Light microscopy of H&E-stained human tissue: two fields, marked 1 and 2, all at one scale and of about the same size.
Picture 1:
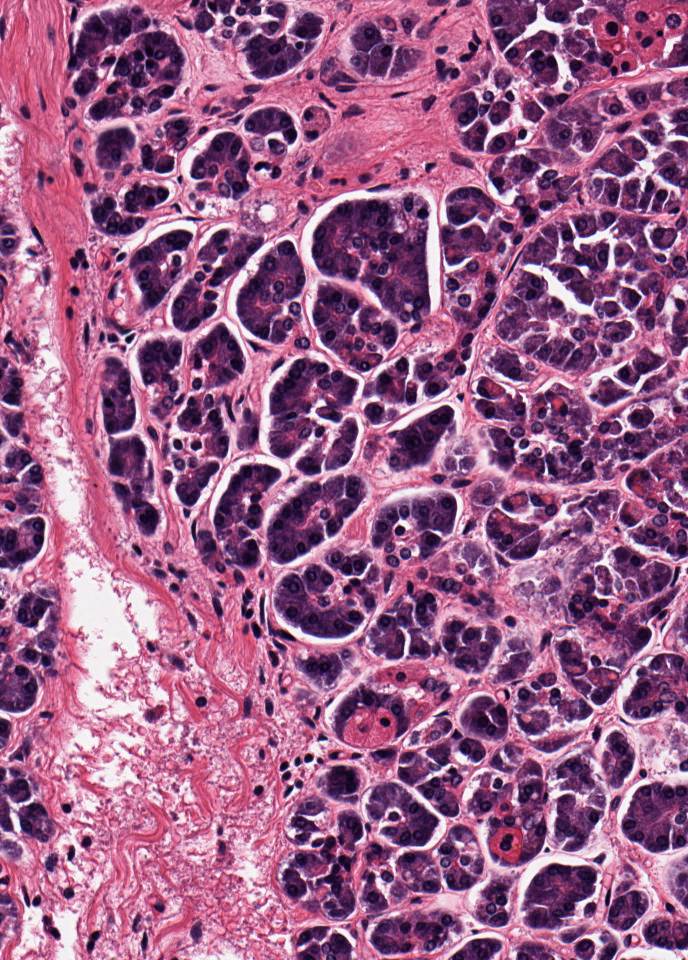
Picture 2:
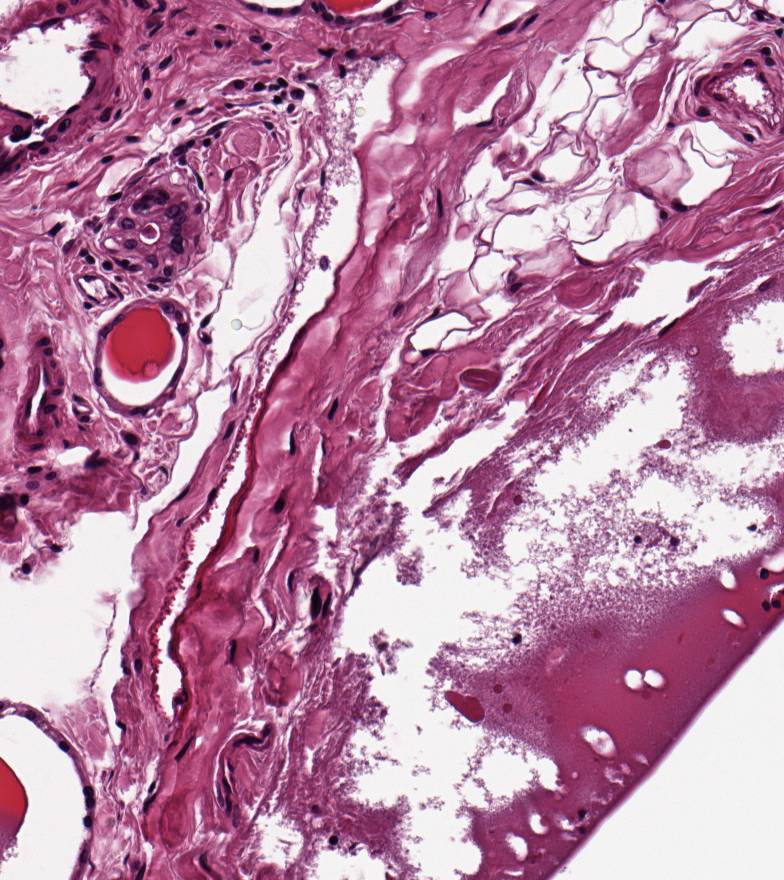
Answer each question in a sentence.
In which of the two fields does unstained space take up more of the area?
More of picture 2 is empty and white.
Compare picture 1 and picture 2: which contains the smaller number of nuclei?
The smaller number of nuclei is in picture 2.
